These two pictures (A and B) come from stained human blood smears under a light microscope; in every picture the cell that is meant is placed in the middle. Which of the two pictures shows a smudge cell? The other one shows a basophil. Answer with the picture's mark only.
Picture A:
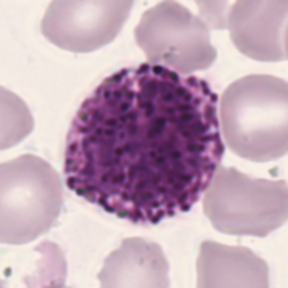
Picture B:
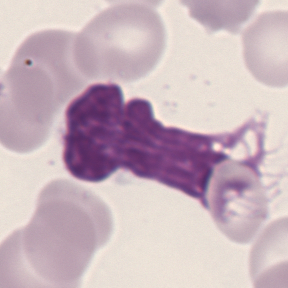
B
